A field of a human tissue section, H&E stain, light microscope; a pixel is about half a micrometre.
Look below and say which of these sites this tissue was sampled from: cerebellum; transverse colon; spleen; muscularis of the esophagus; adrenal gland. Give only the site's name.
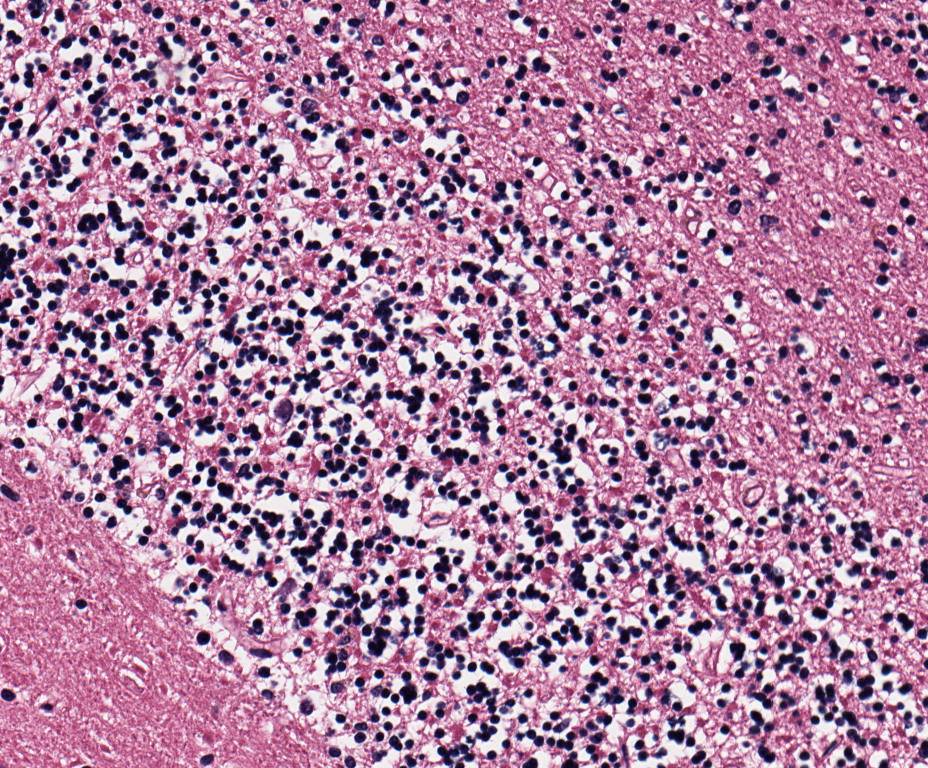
cerebellum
